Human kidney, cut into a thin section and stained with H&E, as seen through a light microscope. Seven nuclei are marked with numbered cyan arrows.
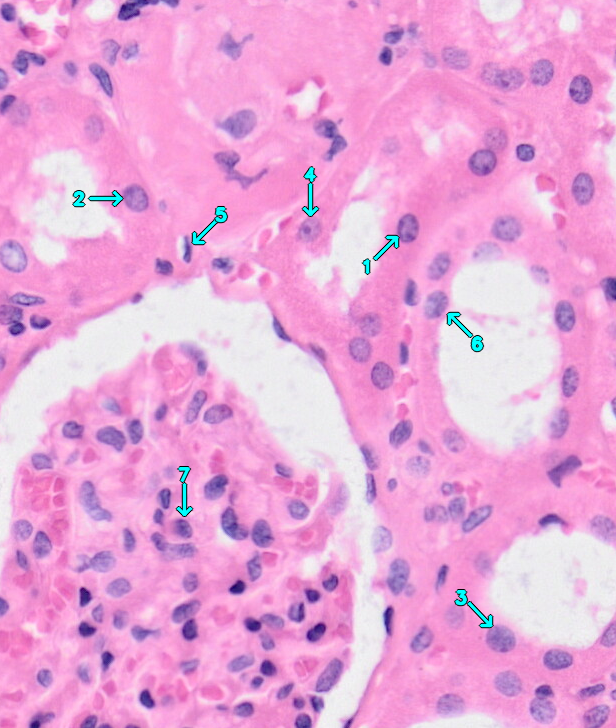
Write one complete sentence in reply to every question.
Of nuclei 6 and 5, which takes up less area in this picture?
Nucleus 5 covers less area, with nucleus 6 about 2.5 times as large.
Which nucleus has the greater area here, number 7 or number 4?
Nucleus 4 covers more area, about 1.5 times as much as nucleus 7.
